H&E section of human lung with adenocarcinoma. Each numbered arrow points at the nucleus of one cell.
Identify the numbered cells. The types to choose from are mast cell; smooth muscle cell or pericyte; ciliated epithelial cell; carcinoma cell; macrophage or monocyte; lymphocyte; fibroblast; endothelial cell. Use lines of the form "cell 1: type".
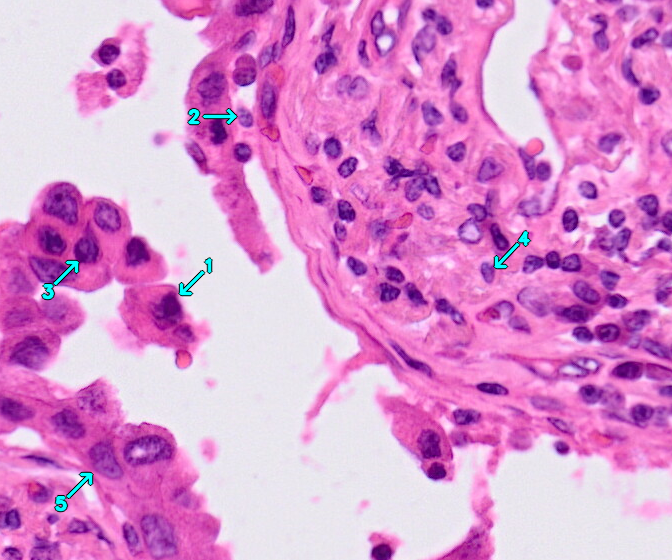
cell 1: carcinoma cell
cell 2: lymphocyte
cell 3: carcinoma cell
cell 4: lymphocyte
cell 5: carcinoma cell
